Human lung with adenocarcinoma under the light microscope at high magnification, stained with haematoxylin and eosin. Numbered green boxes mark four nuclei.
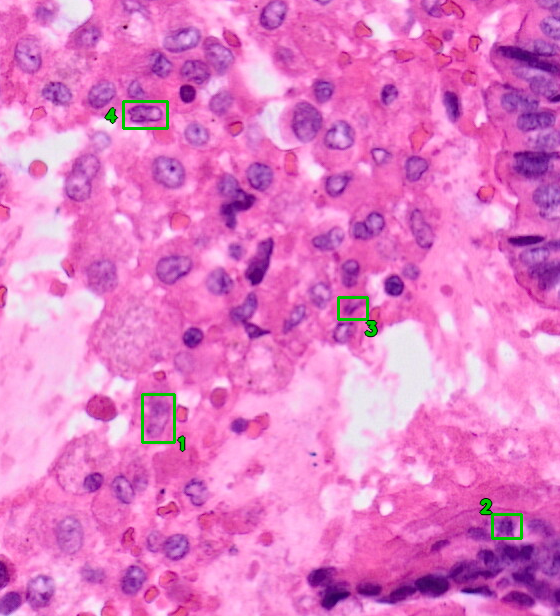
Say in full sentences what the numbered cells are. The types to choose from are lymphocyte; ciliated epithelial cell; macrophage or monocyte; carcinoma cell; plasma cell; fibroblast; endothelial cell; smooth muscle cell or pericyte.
Cell 1 is a macrophage or monocyte, cell 2 is a ciliated epithelial cell, cell 3 is a macrophage or monocyte and cell 4 is a macrophage or monocyte.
